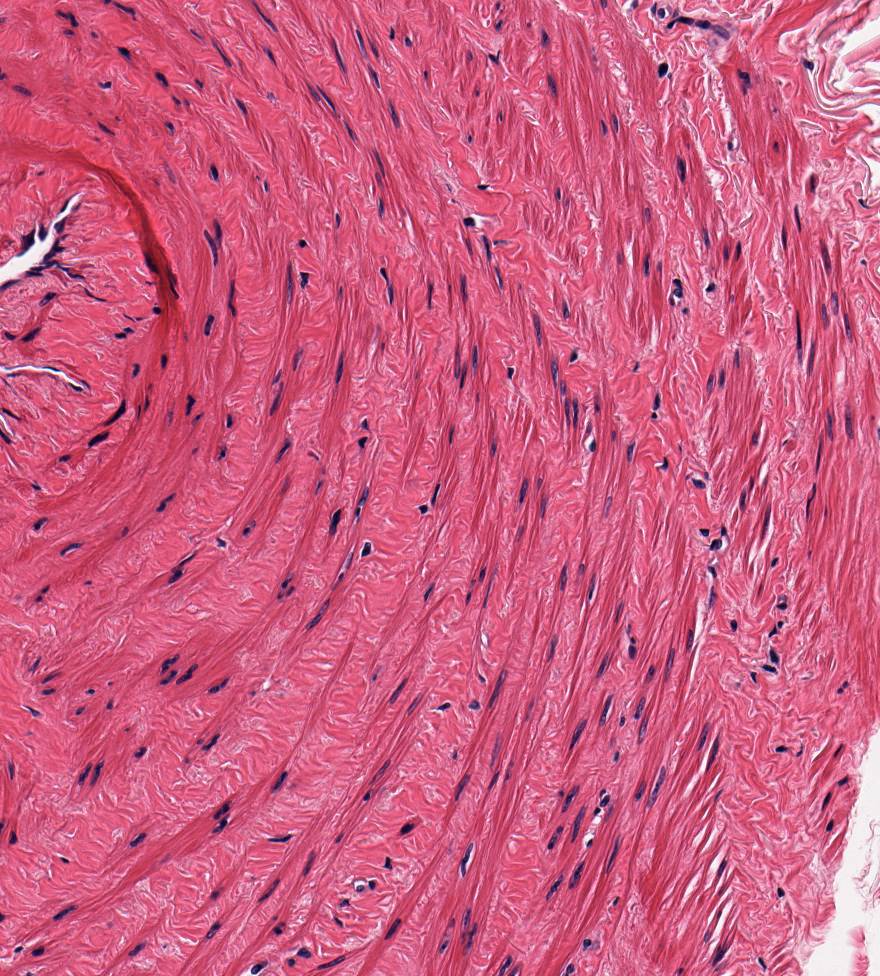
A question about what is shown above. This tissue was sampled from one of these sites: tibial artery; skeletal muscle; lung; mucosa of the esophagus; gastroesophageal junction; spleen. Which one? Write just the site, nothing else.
tibial artery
